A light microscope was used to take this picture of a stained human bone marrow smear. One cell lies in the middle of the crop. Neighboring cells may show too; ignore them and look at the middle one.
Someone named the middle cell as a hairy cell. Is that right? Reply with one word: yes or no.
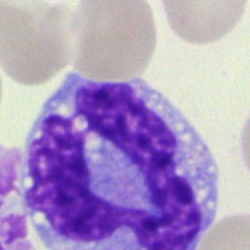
no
